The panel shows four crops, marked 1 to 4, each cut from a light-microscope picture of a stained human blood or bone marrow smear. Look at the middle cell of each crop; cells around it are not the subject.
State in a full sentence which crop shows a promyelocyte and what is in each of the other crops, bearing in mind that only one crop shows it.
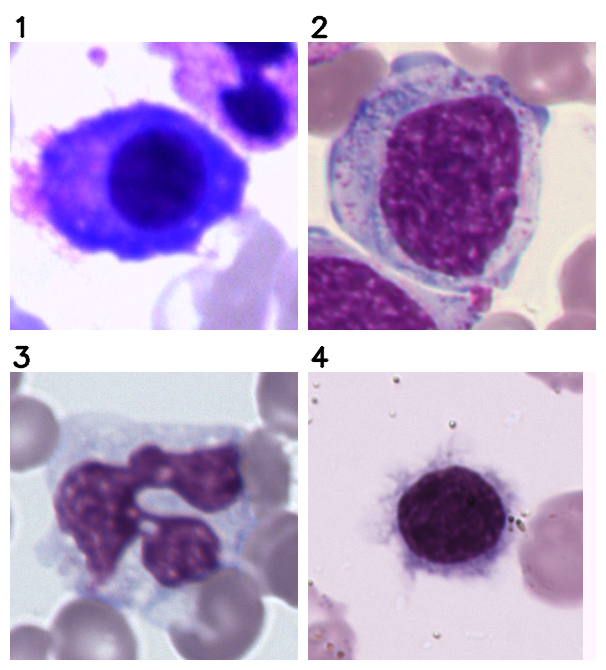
Crop 2 is read as a promyelocyte, while crop 1 is a plasma cell, crop 3 is a monocyte and crop 4 is a hairy cell.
